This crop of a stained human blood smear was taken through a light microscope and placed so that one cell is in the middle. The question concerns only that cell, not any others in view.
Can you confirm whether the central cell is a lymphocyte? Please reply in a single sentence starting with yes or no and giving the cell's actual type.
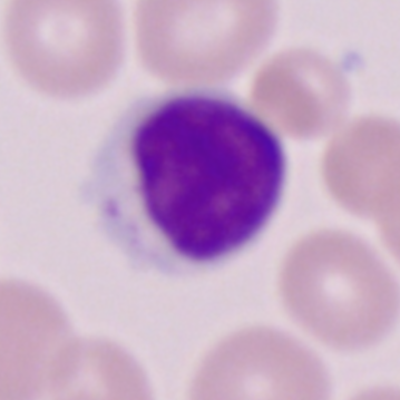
Yes, the cell centred in the field of view is a lymphocyte.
